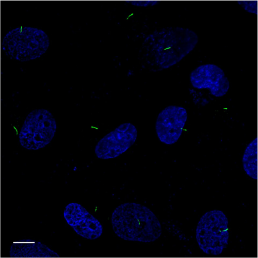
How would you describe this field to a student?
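Scattered cells are seen only by their nuclei, which are oval and stained blue with a faintly granular texture and a few darker spots inside. Beside many of the nuclei, often at their edge, lies one short, thin, straight or slightly curved green line. Each line is single and much shorter than a nucleus is long, and they point in varied directions.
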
